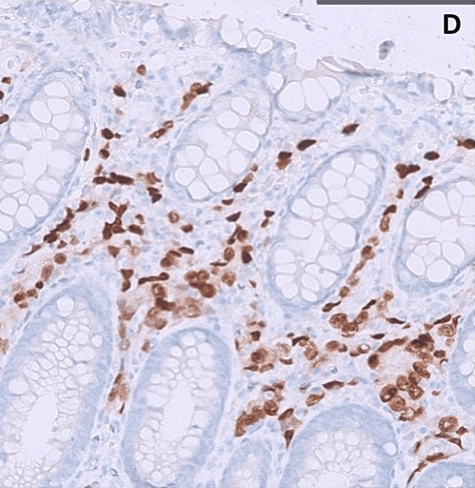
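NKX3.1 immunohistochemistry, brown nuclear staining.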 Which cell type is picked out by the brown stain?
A: Neoplastic cells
